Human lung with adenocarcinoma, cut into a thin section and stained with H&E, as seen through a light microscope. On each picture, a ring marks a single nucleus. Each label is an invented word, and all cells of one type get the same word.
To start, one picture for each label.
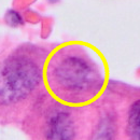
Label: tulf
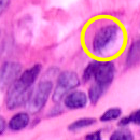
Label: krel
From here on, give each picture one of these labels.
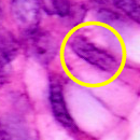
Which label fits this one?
krel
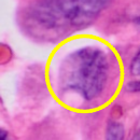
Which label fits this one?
tulf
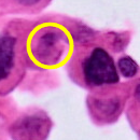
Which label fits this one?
tulf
